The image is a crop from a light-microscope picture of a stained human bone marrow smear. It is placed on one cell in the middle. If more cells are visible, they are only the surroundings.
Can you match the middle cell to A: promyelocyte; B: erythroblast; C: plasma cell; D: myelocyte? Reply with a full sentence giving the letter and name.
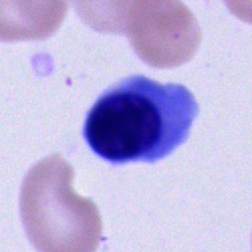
Option B is accurate; the centrally placed cell is an erythroblast.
